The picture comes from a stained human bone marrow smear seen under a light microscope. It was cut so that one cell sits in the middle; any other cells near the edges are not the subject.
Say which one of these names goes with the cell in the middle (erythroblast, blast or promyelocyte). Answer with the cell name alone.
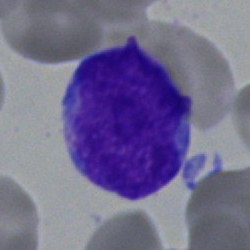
blast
